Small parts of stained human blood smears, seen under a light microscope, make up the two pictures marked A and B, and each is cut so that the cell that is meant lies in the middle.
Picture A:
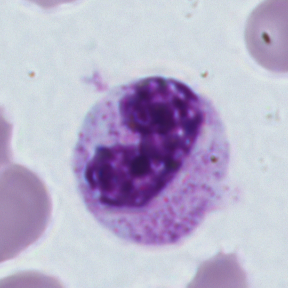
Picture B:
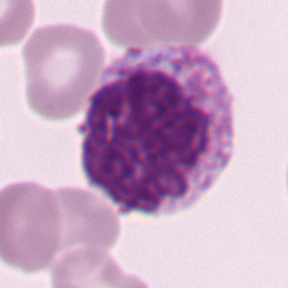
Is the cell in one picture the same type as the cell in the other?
yes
